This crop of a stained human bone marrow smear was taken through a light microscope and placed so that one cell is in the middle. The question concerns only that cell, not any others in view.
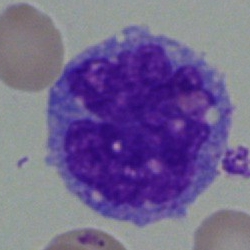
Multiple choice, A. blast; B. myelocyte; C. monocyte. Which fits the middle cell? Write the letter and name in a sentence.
The cell in the center of this crop is a monocyte, so option C is the one to pick.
